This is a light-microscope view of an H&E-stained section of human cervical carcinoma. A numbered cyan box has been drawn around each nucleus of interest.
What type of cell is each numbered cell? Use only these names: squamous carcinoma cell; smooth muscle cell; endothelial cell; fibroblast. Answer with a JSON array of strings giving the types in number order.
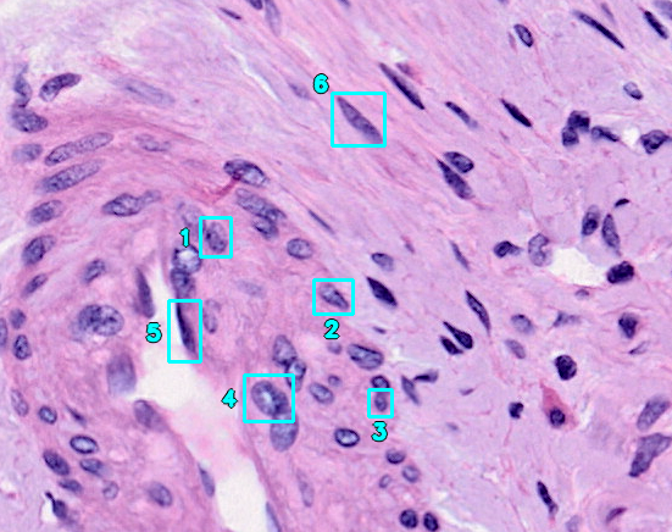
["smooth muscle cell", "smooth muscle cell", "smooth muscle cell", "smooth muscle cell", "endothelial cell", "fibroblast"]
